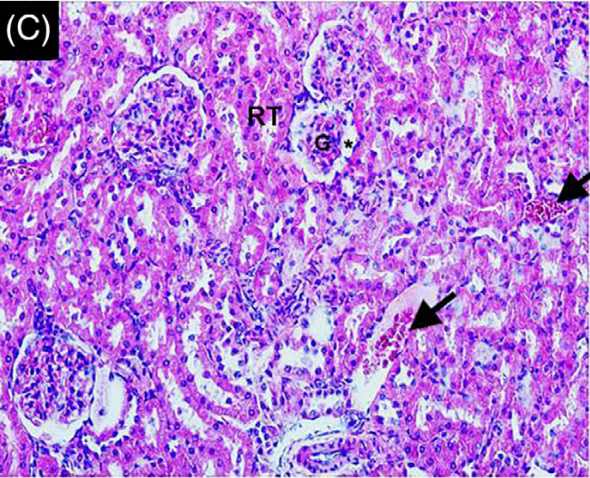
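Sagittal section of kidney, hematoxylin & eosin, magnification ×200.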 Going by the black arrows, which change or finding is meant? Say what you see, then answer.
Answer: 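The arrows point to vessels packed with red-staining red blood cells. The packed red cells fill the vessel lumens among the tubules. The answer: congested vessels.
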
